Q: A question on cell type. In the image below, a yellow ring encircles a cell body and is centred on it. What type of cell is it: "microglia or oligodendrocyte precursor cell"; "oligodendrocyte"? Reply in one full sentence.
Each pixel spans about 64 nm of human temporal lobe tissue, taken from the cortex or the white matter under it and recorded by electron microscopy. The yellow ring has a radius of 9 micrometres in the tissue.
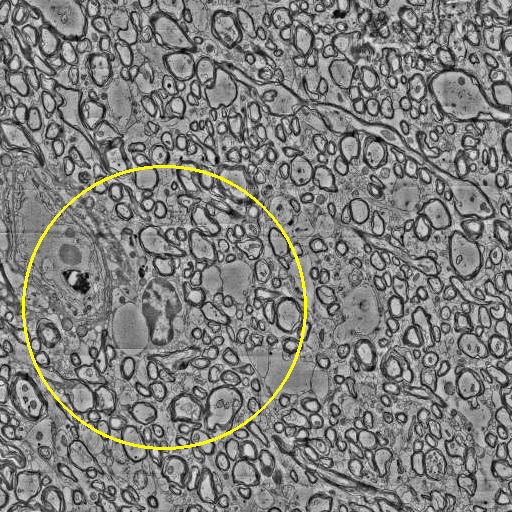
It is a microglial cell or oligodendrocyte precursor cell whose cell body sits at the centre of the yellow ring in the image.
